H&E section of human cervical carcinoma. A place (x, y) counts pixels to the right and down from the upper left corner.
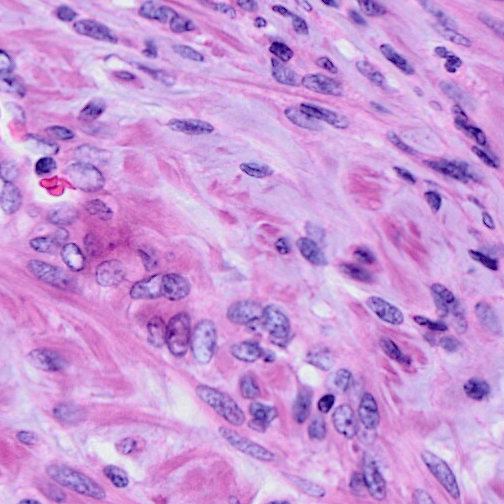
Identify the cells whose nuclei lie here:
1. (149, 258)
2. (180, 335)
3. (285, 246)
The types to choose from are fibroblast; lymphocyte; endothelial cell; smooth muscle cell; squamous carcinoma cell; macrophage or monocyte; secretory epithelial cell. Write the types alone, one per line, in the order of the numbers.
endothelial cell
endothelial cell
smooth muscle cell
